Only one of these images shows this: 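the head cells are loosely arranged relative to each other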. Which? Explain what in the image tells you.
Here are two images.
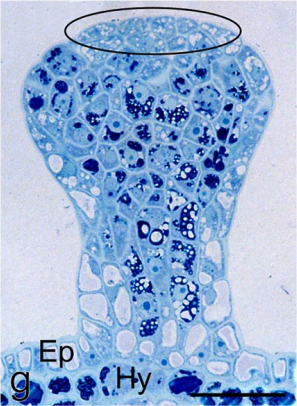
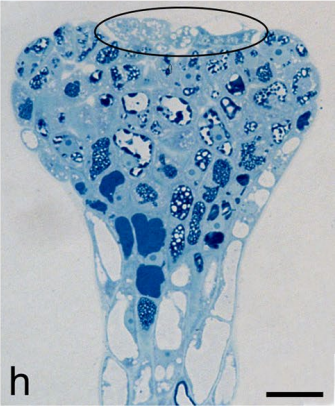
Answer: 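The second image. First image: head cells are tightly packed polygons forming an oval head.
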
